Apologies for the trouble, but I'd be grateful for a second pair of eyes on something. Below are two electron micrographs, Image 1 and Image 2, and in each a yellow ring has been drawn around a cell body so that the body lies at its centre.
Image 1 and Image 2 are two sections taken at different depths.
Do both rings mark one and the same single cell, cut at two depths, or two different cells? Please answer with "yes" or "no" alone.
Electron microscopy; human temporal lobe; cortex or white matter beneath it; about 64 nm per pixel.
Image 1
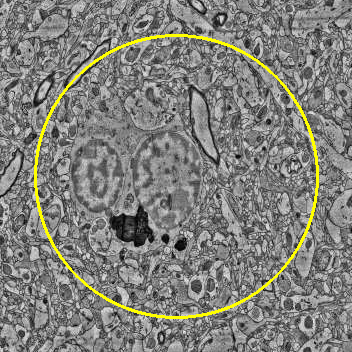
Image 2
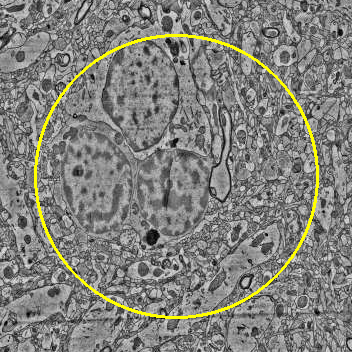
yes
